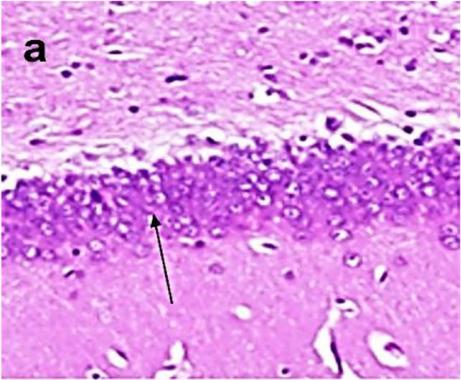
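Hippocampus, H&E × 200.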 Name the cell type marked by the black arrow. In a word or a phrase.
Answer: granular cells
